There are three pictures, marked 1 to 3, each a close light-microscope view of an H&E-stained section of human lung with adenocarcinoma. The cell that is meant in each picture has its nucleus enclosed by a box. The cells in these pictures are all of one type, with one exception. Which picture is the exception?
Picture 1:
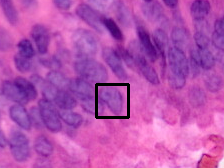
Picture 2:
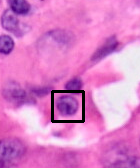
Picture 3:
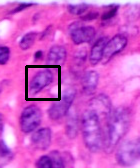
2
